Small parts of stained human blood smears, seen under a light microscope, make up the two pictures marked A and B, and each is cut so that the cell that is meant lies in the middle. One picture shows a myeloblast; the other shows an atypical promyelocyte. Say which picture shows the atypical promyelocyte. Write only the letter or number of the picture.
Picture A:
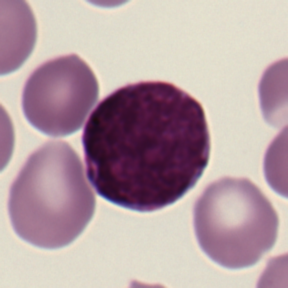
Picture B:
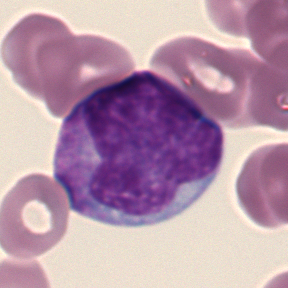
B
